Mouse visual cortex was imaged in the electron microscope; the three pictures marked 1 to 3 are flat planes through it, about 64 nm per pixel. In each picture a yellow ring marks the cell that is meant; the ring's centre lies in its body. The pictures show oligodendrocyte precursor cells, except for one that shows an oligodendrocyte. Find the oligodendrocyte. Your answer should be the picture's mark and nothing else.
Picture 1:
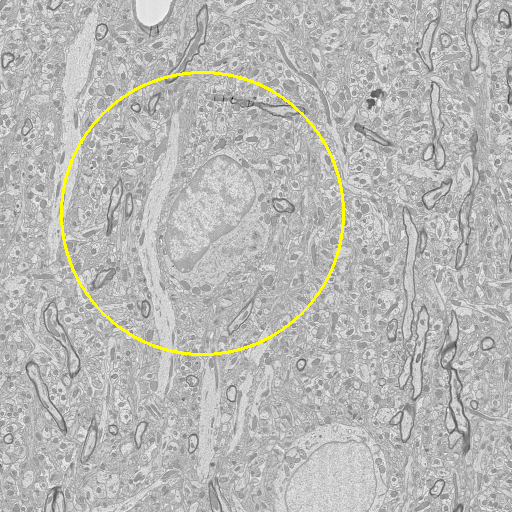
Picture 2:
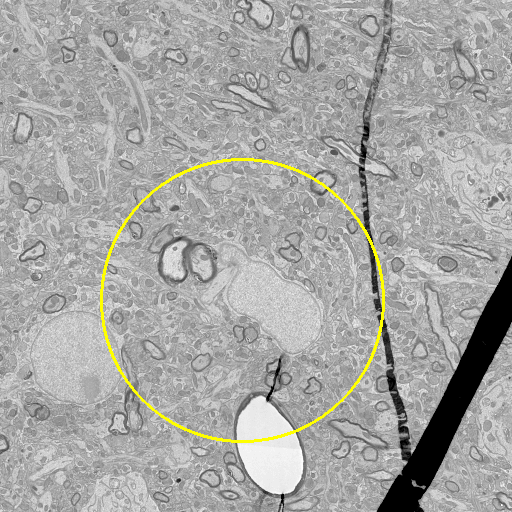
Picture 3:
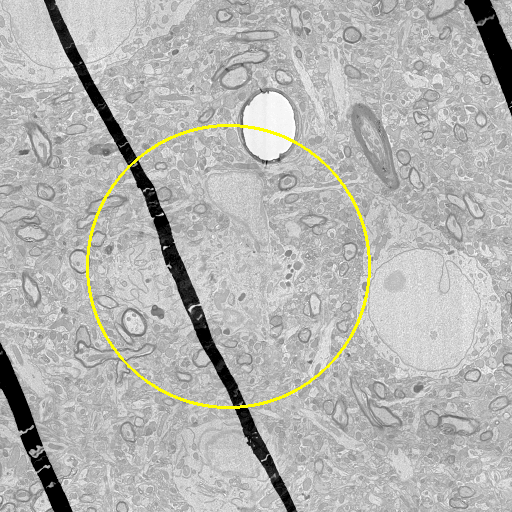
1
